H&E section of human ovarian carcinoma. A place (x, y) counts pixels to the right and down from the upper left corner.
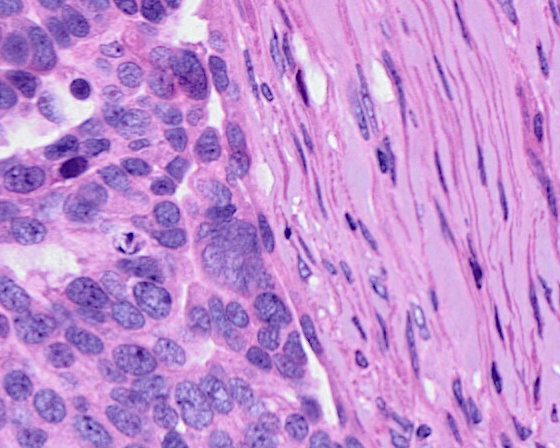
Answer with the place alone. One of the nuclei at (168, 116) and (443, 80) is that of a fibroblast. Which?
(443, 80)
